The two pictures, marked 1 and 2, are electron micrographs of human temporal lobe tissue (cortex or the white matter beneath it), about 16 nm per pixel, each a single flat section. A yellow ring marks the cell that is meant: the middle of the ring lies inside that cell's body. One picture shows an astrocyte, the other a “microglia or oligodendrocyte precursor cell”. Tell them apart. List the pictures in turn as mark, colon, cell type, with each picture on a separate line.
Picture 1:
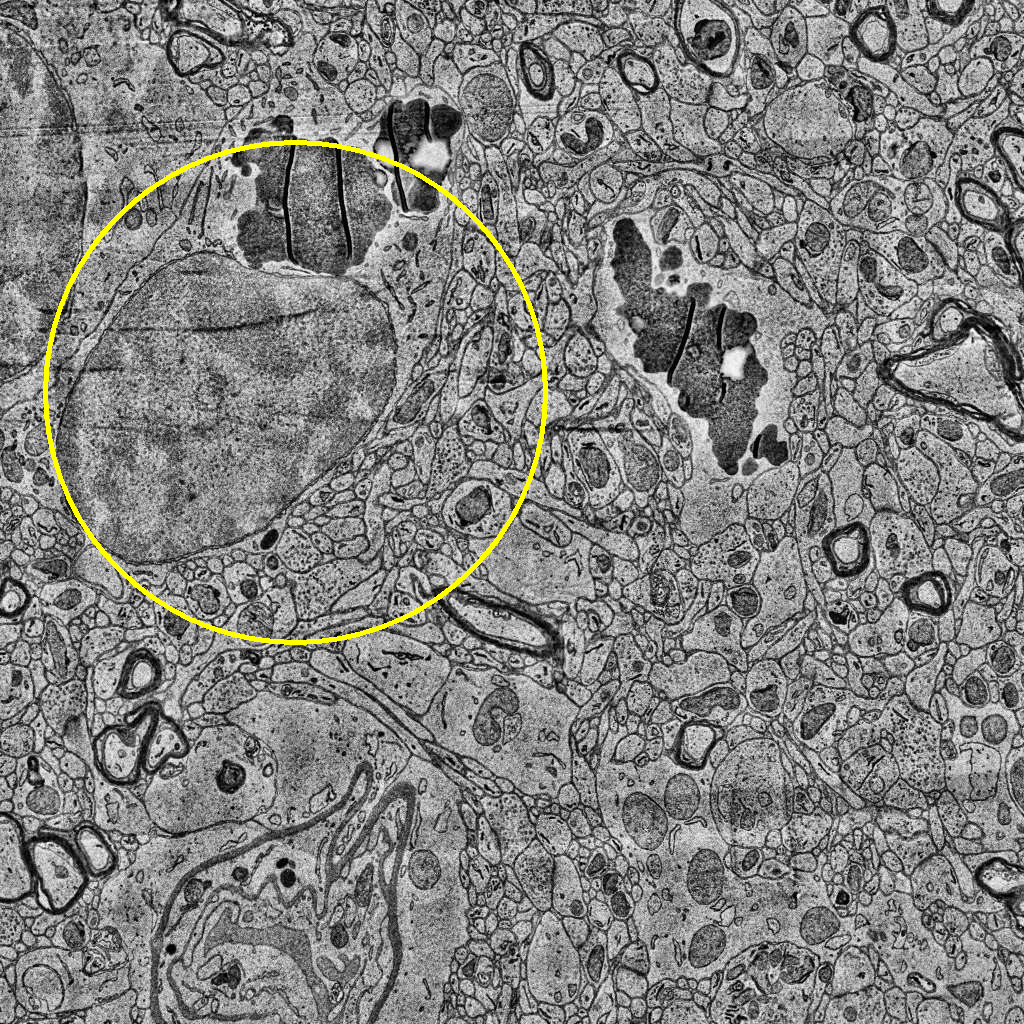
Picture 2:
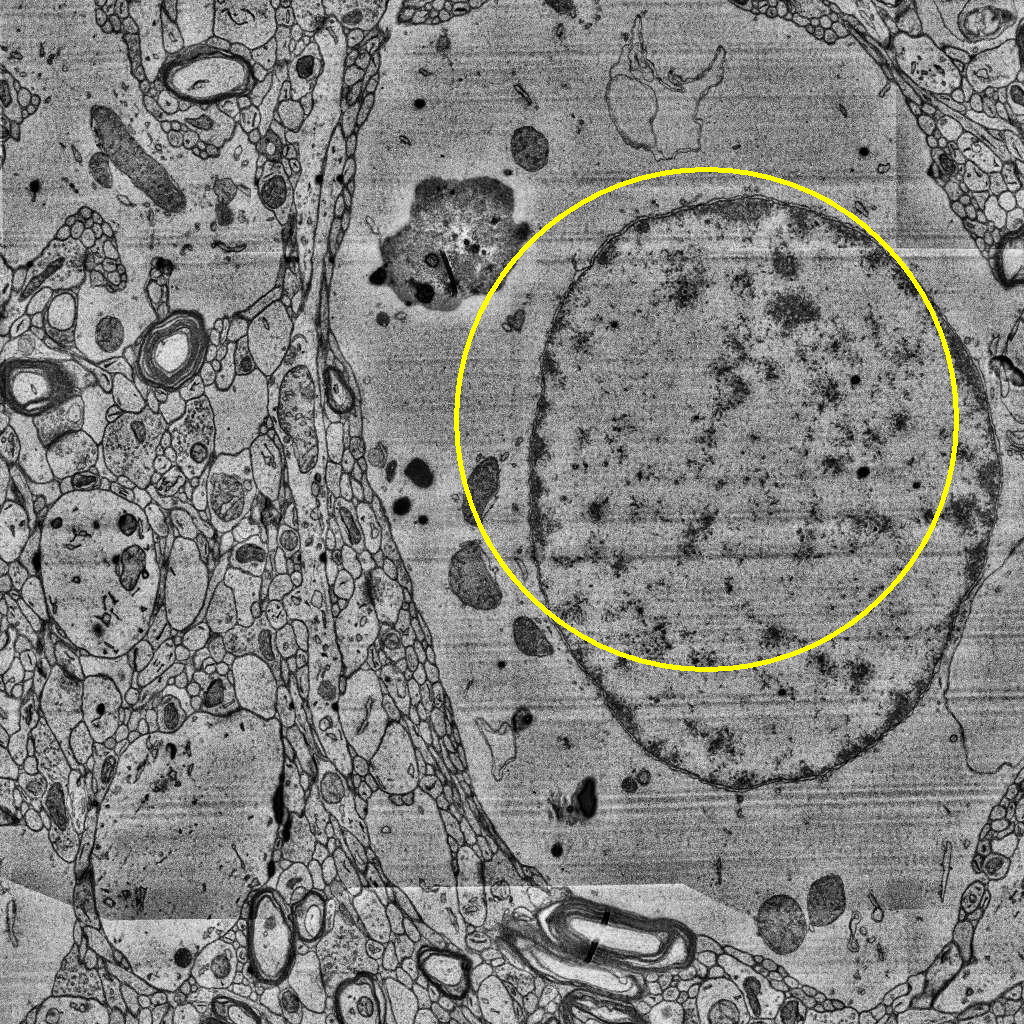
1: microglia or oligodendrocyte precursor cell
2: astrocyte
